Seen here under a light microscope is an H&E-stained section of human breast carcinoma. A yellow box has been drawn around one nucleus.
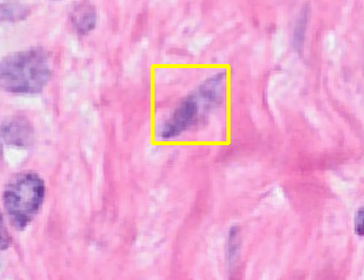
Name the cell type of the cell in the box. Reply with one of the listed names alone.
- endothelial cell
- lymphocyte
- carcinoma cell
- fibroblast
fibroblast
